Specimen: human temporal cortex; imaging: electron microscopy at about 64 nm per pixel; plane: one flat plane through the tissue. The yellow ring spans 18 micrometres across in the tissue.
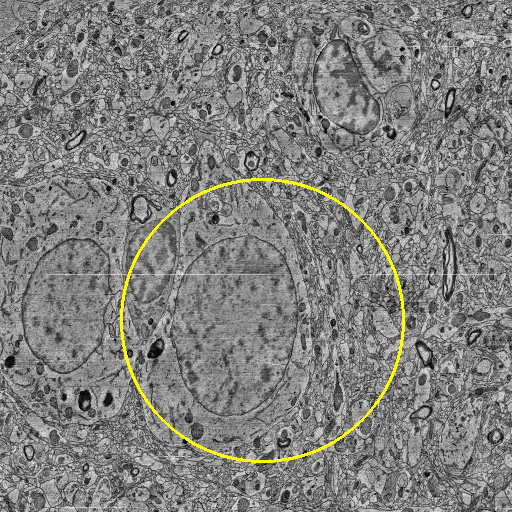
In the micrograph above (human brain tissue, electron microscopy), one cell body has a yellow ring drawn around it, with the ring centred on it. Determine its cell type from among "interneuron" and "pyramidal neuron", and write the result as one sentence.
The cell whose body is ringed is a pyramidal neuron.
